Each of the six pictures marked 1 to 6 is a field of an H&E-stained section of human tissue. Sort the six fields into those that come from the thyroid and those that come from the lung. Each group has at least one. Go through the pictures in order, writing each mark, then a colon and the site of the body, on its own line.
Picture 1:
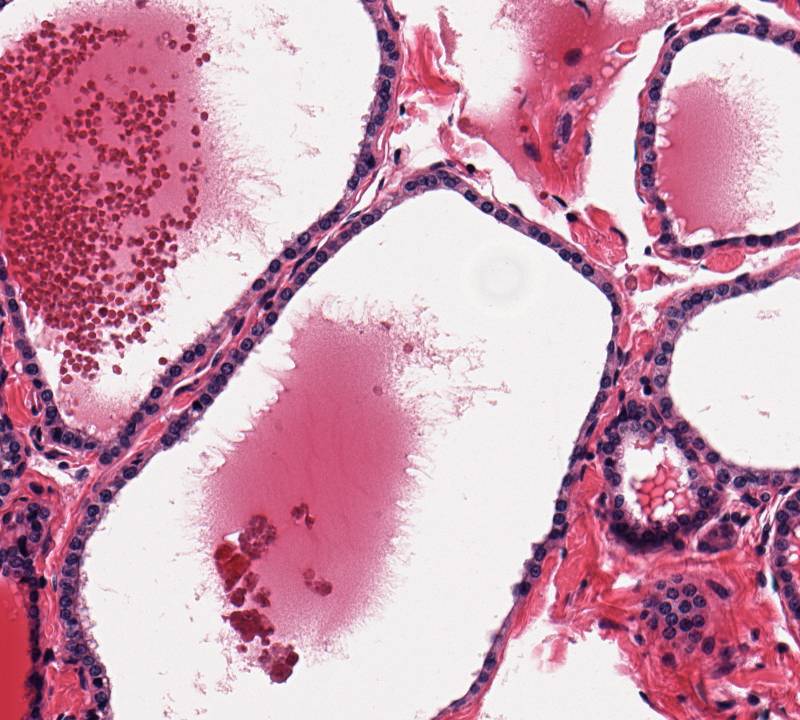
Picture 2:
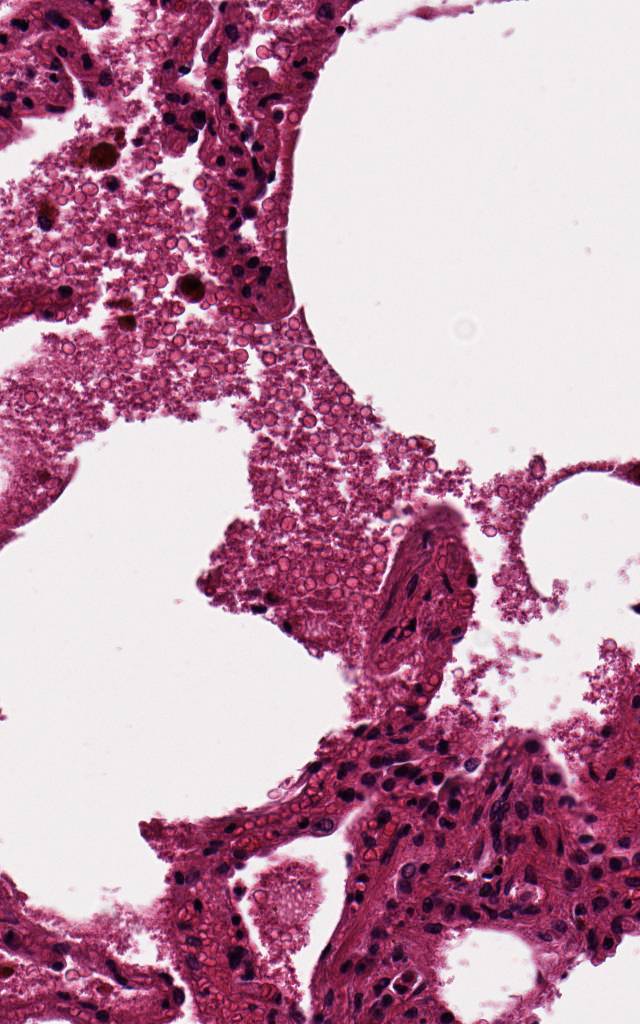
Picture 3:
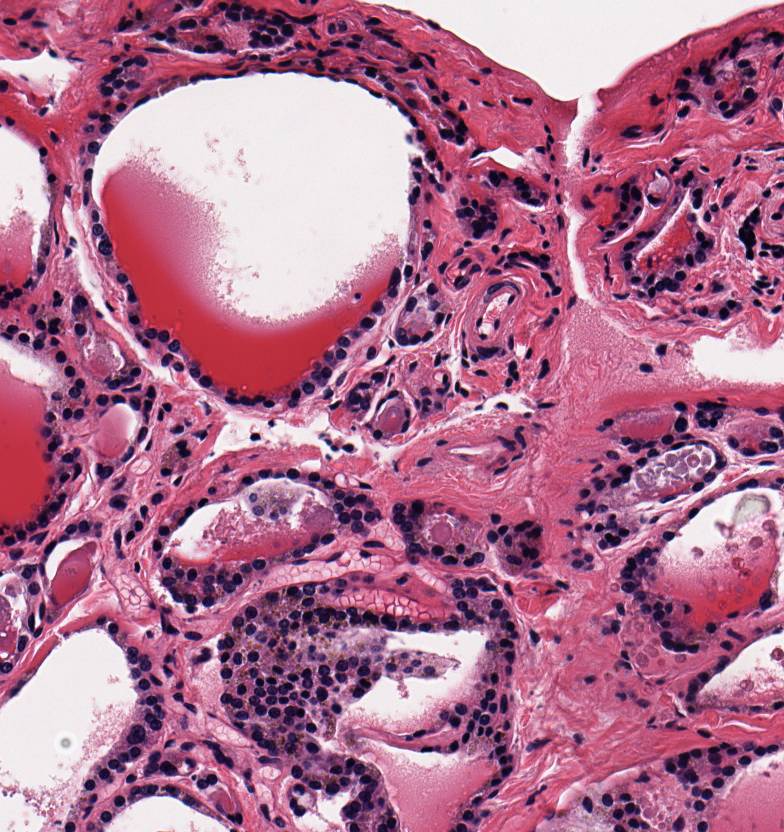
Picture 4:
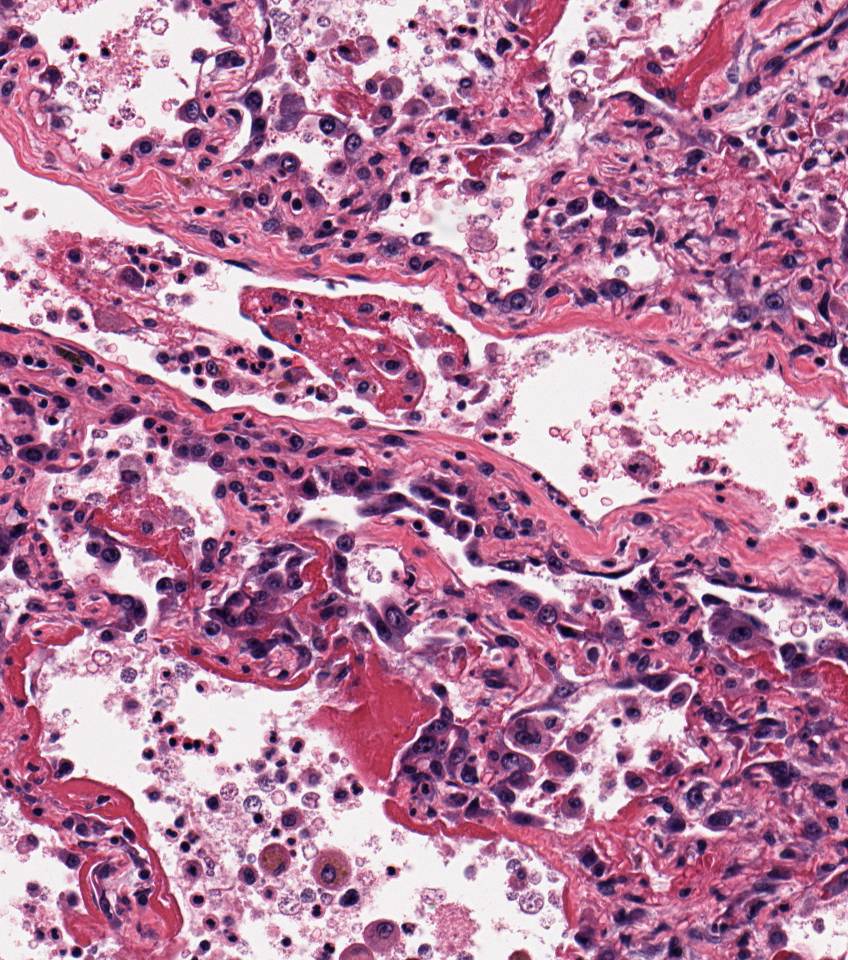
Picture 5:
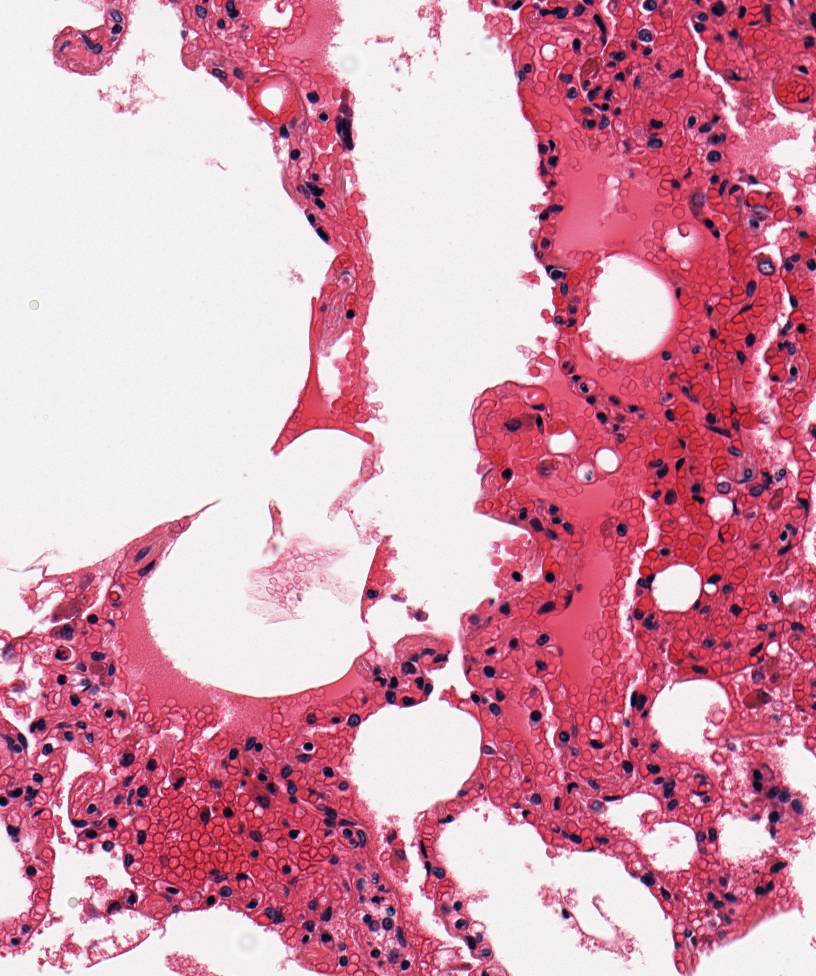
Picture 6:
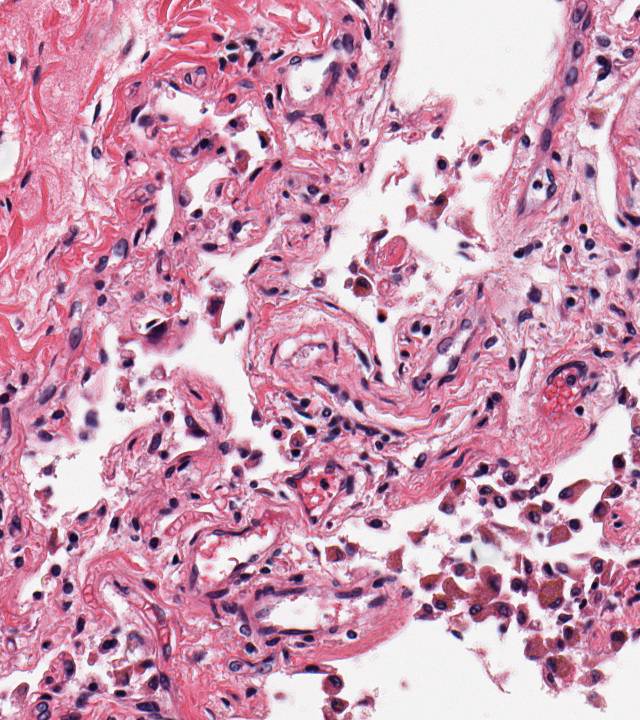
1: thyroid
2: lung
3: thyroid
4: lung
5: lung
6: lung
